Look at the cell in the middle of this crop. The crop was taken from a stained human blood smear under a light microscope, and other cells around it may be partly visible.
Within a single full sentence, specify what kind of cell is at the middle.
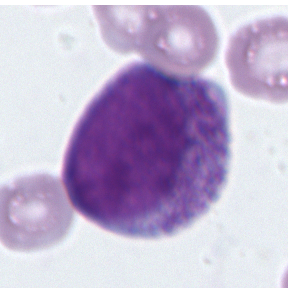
Standing at the centre of this crop is a promyelocyte.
